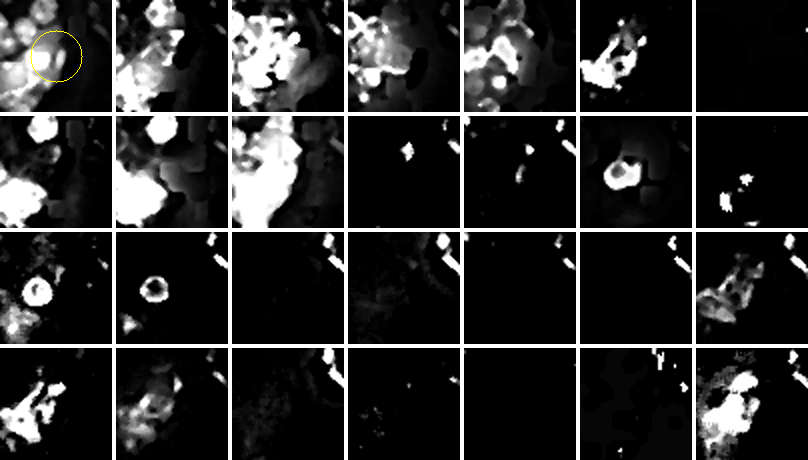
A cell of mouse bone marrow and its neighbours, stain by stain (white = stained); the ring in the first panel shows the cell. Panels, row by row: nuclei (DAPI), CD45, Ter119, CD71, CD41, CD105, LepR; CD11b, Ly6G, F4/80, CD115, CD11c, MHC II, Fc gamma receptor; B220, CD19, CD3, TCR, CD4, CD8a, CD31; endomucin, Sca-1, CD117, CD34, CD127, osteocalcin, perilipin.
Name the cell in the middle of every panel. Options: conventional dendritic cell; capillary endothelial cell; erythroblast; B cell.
erythroblast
